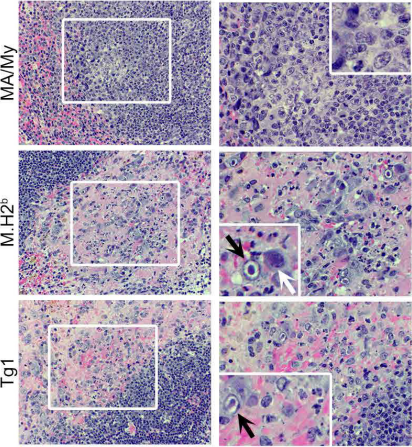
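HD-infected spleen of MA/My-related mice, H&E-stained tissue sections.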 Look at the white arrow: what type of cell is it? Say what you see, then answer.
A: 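The white arrow points to a cell with an eccentric round nucleus. The marked cell has abundant purple-staining cytoplasm.
Hence: plasmacytoid-like cells.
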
